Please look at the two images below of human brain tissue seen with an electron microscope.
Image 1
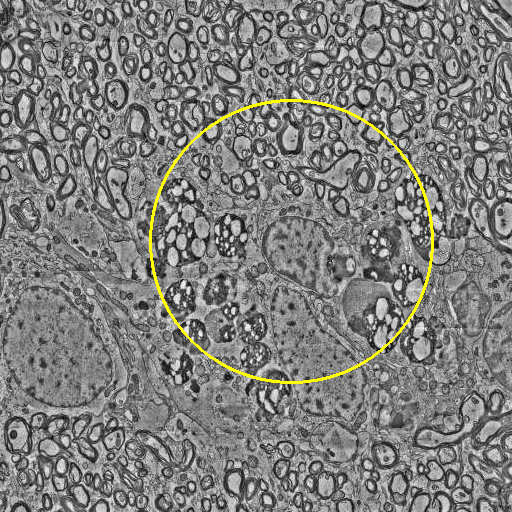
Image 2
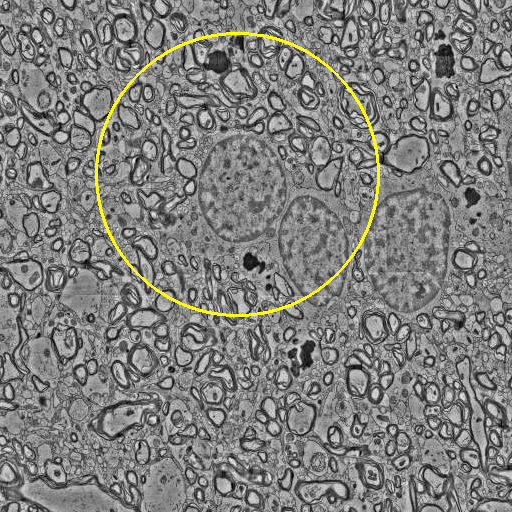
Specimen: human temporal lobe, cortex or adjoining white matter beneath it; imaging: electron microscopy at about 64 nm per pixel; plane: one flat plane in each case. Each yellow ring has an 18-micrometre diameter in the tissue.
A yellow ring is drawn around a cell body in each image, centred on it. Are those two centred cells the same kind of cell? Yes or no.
no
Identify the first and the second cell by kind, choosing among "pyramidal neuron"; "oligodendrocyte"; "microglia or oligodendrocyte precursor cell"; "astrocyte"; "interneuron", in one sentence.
The one in the first picture is a microglial cell or oligodendrocyte precursor cell, while the one in the second is an oligodendrocyte.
